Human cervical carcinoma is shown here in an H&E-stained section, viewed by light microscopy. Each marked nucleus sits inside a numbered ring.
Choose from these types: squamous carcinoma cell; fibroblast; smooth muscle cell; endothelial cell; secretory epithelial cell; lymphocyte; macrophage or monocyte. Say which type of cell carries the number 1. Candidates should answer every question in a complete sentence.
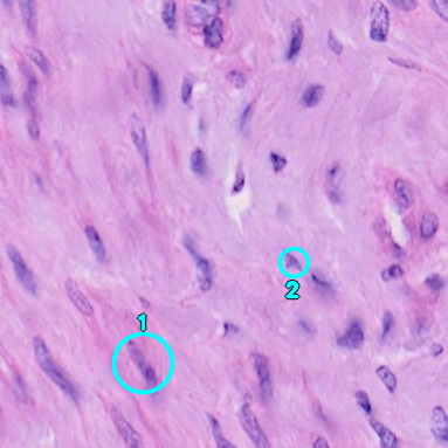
The cell referenced by the number 1 is a smooth muscle cell in this field.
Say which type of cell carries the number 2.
The cell that bears the number 2 is a fibroblast.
